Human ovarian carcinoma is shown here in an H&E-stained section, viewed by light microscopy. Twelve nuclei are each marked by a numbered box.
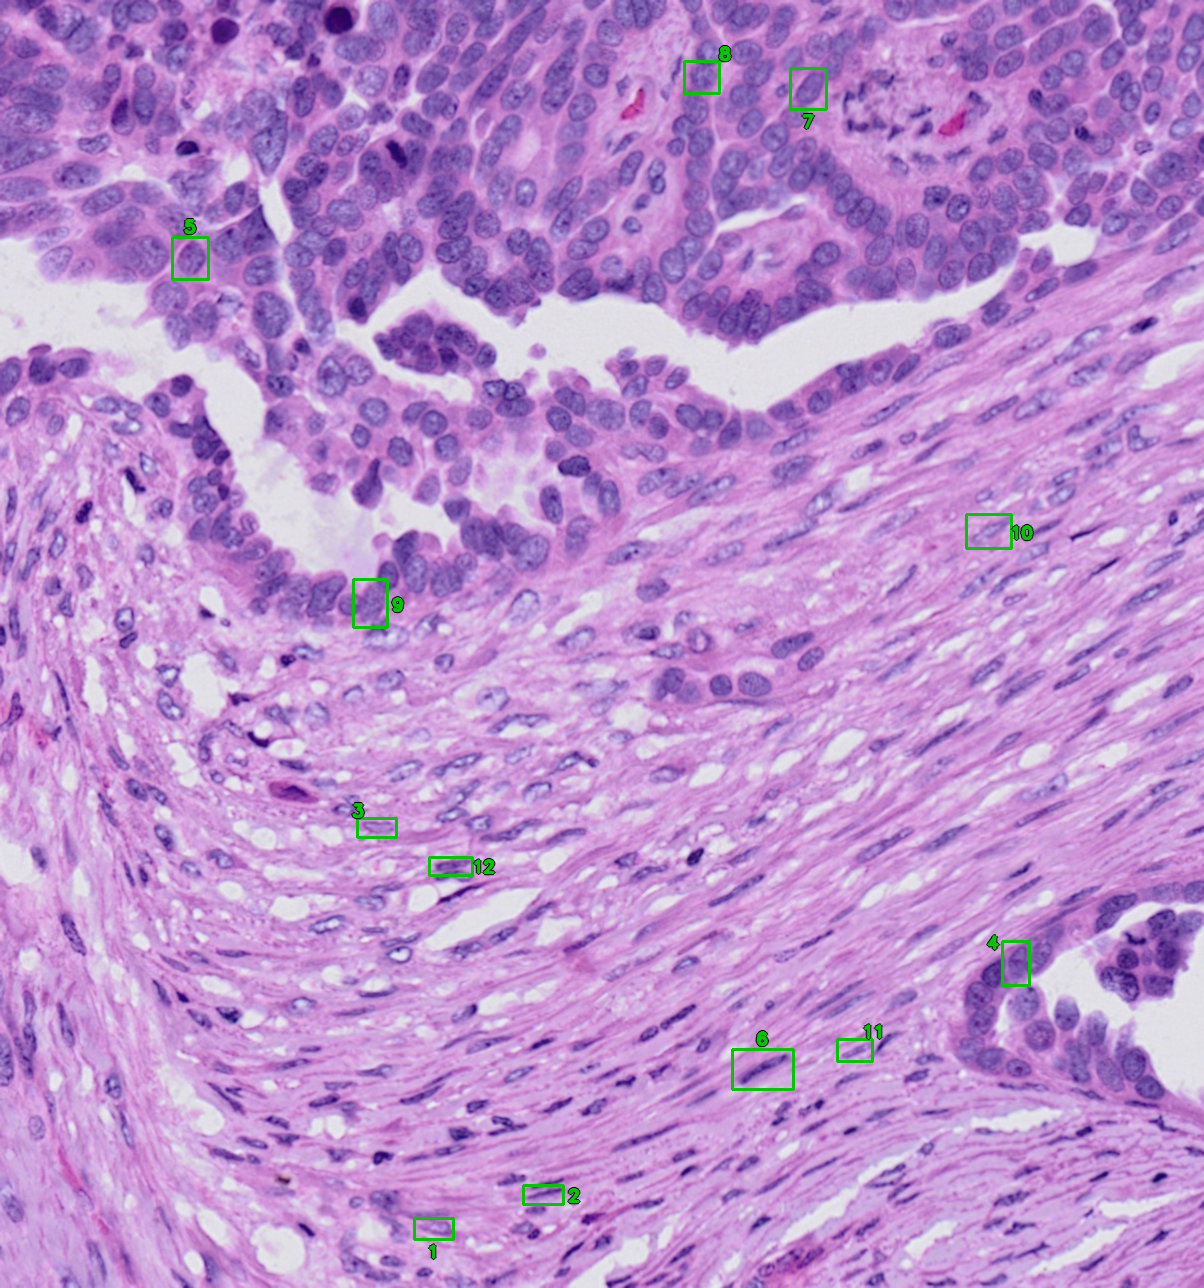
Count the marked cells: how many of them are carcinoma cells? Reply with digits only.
5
